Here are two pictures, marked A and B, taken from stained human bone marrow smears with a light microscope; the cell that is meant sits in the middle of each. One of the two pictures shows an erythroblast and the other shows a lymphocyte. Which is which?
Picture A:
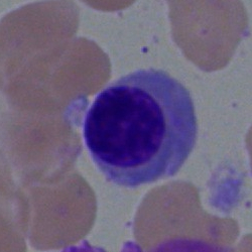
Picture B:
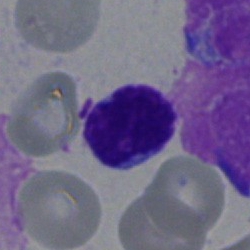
A: erythroblast
B: lymphocyte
